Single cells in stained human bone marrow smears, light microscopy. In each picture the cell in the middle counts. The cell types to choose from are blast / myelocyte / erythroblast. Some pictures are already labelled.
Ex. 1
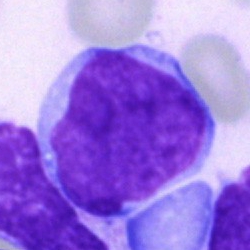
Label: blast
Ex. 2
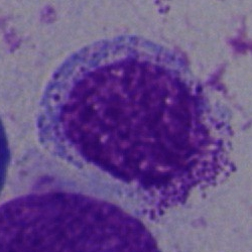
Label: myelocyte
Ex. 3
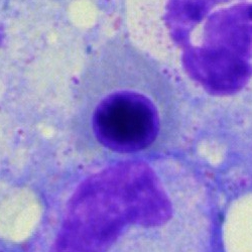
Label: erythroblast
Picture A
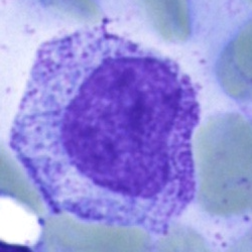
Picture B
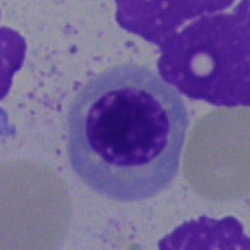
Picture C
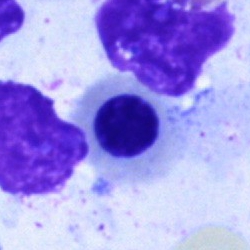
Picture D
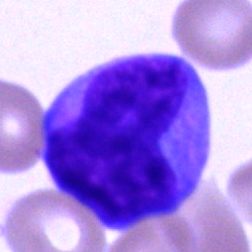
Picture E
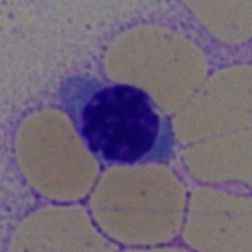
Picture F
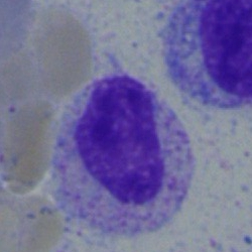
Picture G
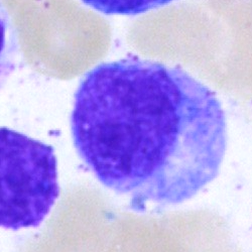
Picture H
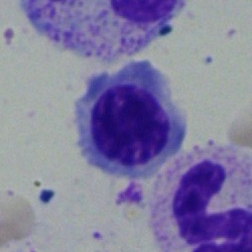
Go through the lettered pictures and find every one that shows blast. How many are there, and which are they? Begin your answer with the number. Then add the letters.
1: D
